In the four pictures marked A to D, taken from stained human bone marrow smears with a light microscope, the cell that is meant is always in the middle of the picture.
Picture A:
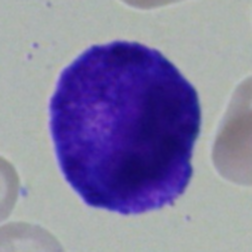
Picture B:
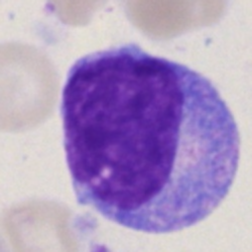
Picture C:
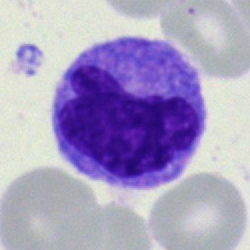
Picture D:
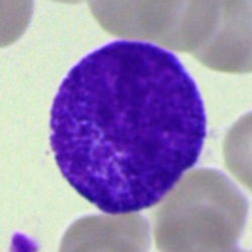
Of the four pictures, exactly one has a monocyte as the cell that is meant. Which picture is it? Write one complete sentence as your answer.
The cell in picture C is the monocyte.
